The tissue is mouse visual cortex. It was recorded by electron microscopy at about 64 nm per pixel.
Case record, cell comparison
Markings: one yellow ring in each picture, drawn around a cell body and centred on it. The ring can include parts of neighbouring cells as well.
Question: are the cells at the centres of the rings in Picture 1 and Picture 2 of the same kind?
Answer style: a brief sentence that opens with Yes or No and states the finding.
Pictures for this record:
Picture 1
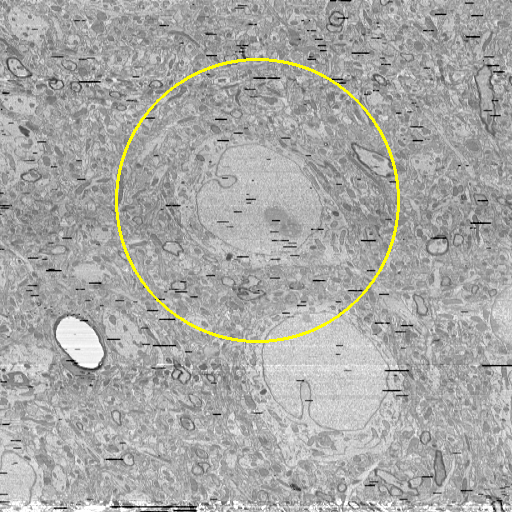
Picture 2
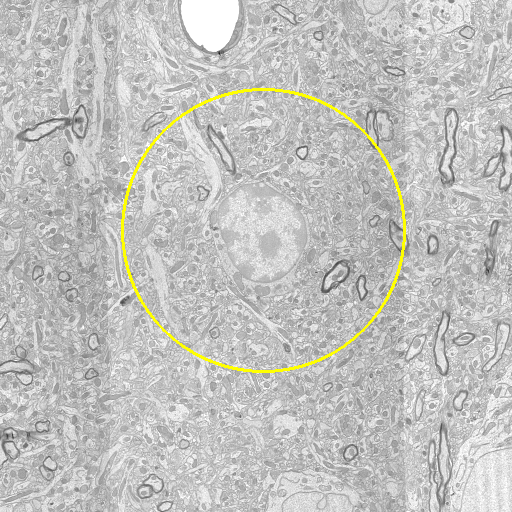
No, the cells in Picture 1 and Picture 2 are of two kinds.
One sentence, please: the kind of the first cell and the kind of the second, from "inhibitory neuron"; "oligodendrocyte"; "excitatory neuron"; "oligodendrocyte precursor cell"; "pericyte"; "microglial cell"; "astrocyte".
The ring in the first picture surrounds an excitatory neuron, and the ring in the second surrounds an oligodendrocyte.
